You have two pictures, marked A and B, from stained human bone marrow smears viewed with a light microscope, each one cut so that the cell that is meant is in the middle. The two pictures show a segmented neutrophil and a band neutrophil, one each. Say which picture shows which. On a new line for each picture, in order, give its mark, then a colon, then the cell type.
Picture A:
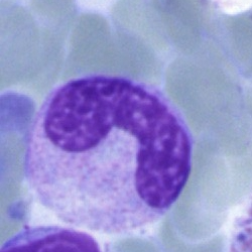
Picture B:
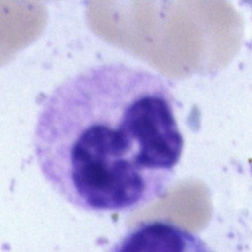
A: band neutrophil
B: segmented neutrophil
